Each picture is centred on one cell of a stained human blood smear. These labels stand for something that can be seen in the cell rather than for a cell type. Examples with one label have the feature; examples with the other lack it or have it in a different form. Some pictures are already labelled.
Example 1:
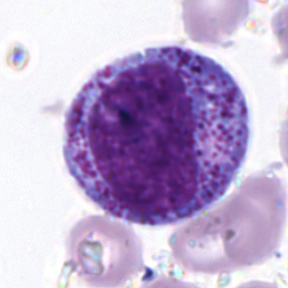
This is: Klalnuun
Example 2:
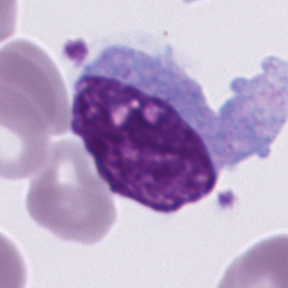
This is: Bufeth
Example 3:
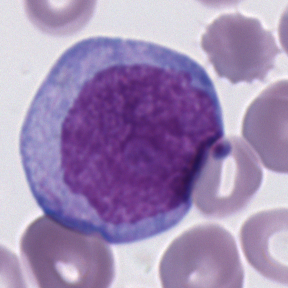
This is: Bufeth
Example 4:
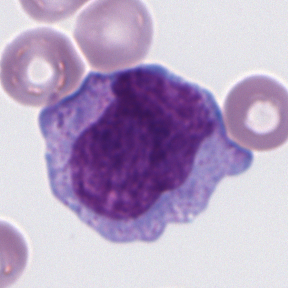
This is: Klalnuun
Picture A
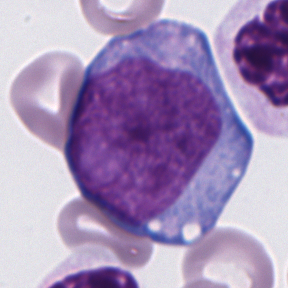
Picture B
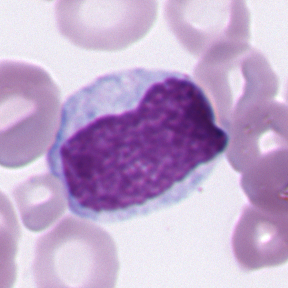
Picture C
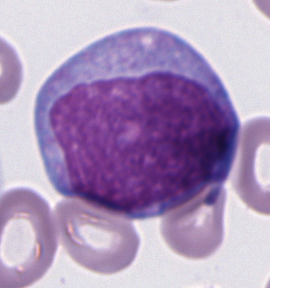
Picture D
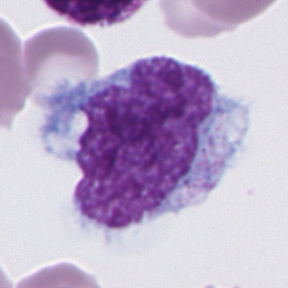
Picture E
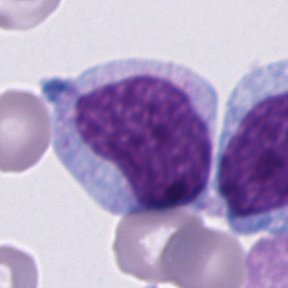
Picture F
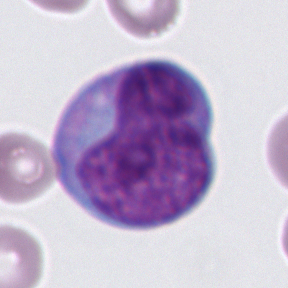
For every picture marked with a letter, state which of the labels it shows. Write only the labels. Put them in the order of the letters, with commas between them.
Bufeth, Bufeth, Bufeth, Klalnuun, Bufeth, Bufeth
